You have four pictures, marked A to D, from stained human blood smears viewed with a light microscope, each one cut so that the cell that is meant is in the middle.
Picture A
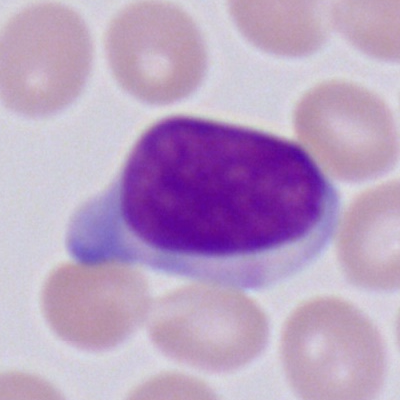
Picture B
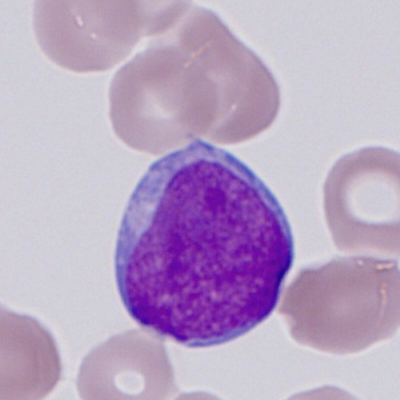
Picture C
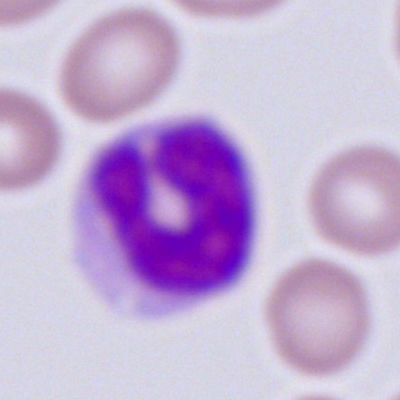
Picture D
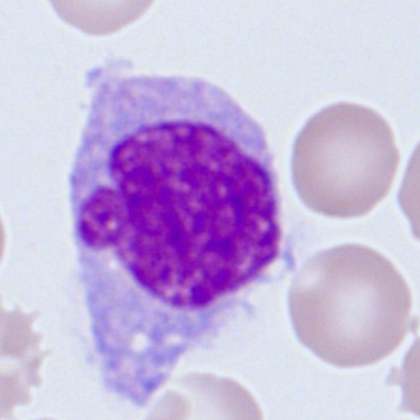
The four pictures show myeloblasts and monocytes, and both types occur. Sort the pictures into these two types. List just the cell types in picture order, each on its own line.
myeloblast
myeloblast
monocyte
monocyte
